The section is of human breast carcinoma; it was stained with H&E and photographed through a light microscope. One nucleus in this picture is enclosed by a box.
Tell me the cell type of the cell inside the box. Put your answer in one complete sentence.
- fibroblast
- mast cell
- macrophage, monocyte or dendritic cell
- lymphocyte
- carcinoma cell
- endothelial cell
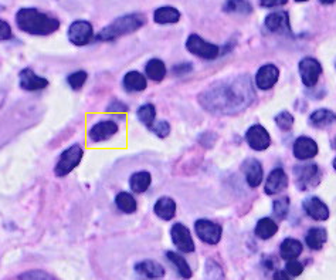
This is a lymphocyte.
